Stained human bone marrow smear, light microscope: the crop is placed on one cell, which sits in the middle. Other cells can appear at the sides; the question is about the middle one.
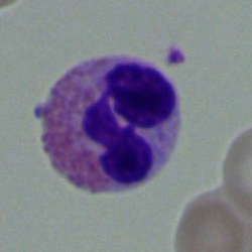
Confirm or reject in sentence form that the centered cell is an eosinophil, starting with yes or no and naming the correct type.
Yes, the cell at the centre of this crop is identified as an eosinophil.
